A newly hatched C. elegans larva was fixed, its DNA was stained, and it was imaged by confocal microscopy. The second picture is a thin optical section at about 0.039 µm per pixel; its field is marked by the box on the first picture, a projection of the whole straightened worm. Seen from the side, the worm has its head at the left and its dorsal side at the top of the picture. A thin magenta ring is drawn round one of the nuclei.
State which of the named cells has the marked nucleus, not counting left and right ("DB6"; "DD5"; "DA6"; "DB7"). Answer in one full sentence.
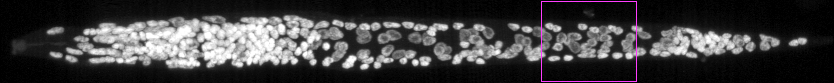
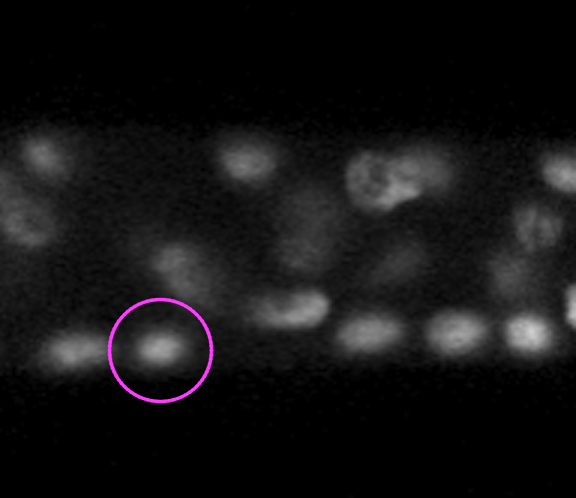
The nucleus is from DA6, a neuron.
